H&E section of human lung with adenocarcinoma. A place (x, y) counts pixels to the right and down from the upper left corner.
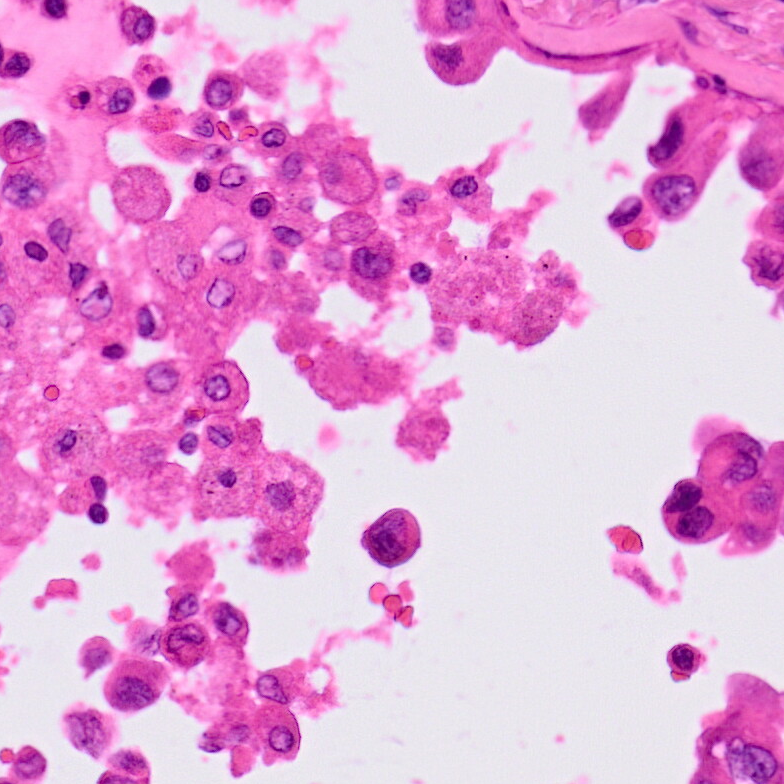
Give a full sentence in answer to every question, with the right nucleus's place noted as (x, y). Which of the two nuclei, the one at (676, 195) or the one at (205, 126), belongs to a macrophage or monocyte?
Which one belongs to a macrophage or monocyte? The nucleus at (205, 126) does.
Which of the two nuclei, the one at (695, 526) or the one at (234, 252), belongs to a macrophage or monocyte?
The nucleus that belongs to a macrophage or monocyte is located at (234, 252).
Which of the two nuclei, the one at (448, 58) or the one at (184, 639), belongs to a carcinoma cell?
So, of the two, the nucleus at (448, 58) is the one belonging to a carcinoma cell.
